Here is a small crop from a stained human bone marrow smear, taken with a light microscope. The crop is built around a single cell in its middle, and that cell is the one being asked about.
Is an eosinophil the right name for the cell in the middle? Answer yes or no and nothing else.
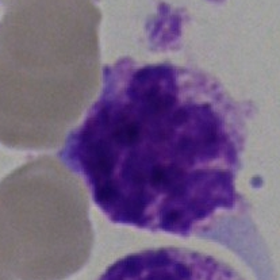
no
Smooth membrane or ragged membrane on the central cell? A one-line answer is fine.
The cytoplasmic margin is uneven, whether through ragged segments or through projections.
